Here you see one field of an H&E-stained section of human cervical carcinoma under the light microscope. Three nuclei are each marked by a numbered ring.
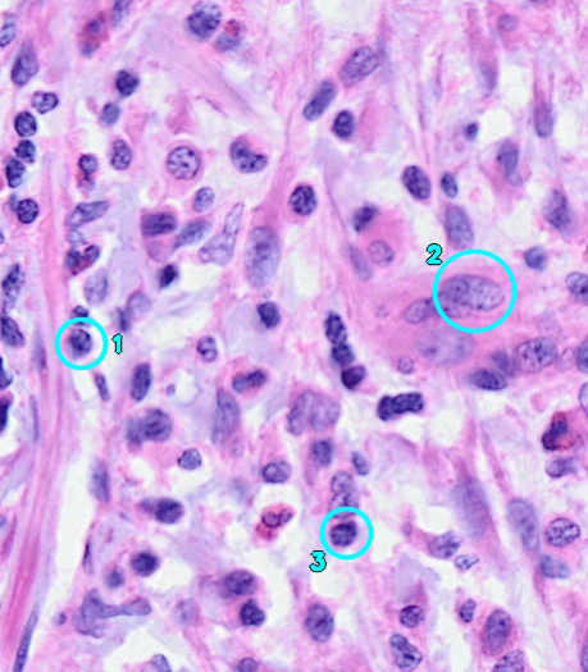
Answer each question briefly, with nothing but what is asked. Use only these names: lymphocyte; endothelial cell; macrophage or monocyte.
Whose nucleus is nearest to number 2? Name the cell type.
endothelial cell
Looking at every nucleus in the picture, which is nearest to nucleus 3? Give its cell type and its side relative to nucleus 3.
a macrophage or monocyte, above nucleus 3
